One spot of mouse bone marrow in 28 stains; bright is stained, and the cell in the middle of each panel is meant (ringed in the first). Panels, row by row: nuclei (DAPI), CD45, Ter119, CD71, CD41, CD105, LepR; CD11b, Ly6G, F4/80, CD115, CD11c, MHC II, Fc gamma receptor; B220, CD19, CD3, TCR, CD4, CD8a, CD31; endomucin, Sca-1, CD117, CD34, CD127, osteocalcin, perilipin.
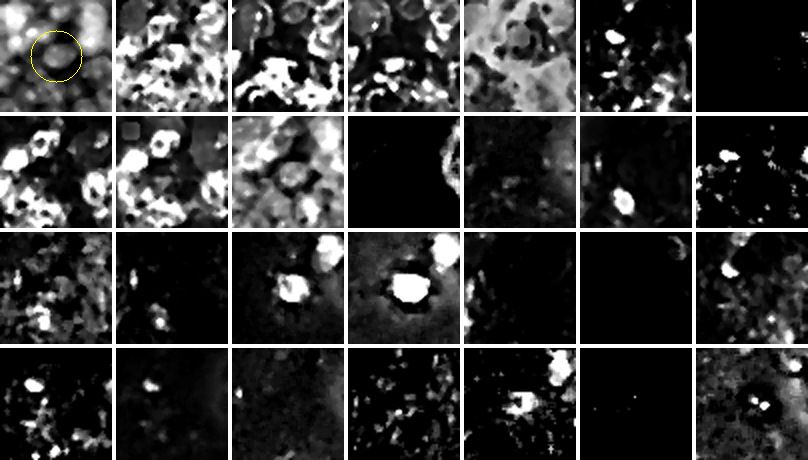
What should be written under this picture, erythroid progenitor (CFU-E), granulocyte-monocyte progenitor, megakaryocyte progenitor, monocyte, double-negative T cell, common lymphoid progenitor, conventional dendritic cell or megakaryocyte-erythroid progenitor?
double-negative T cell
